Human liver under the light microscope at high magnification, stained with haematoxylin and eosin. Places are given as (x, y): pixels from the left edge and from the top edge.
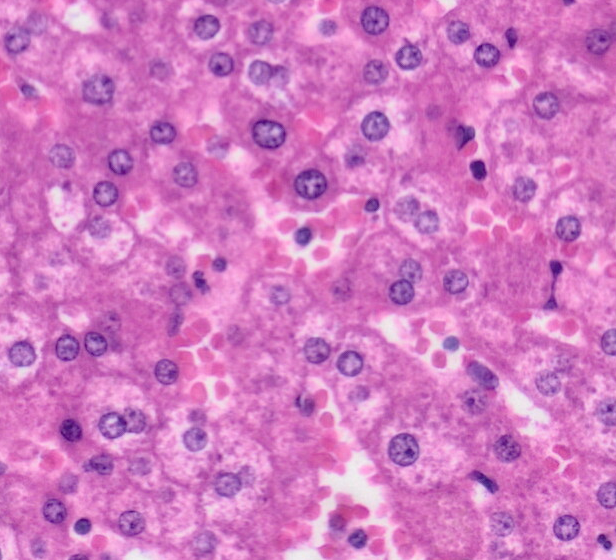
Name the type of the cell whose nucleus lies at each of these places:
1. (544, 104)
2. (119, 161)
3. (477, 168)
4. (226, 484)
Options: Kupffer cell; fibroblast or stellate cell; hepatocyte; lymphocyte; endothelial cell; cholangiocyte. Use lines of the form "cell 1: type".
cell 1: hepatocyte
cell 2: hepatocyte
cell 3: lymphocyte
cell 4: hepatocyte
